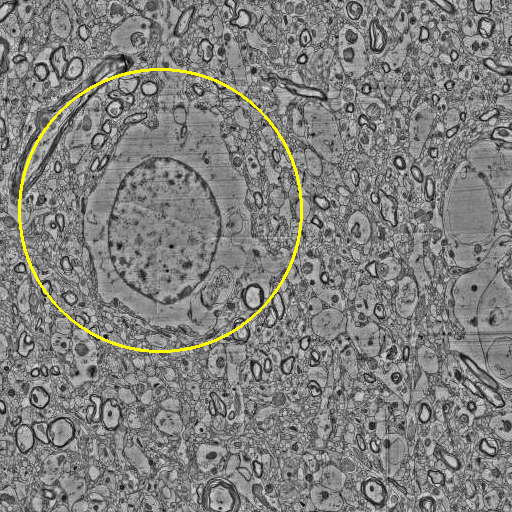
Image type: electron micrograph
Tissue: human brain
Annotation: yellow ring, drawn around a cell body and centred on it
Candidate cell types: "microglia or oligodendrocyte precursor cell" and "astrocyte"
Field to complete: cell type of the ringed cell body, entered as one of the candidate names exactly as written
astrocyte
